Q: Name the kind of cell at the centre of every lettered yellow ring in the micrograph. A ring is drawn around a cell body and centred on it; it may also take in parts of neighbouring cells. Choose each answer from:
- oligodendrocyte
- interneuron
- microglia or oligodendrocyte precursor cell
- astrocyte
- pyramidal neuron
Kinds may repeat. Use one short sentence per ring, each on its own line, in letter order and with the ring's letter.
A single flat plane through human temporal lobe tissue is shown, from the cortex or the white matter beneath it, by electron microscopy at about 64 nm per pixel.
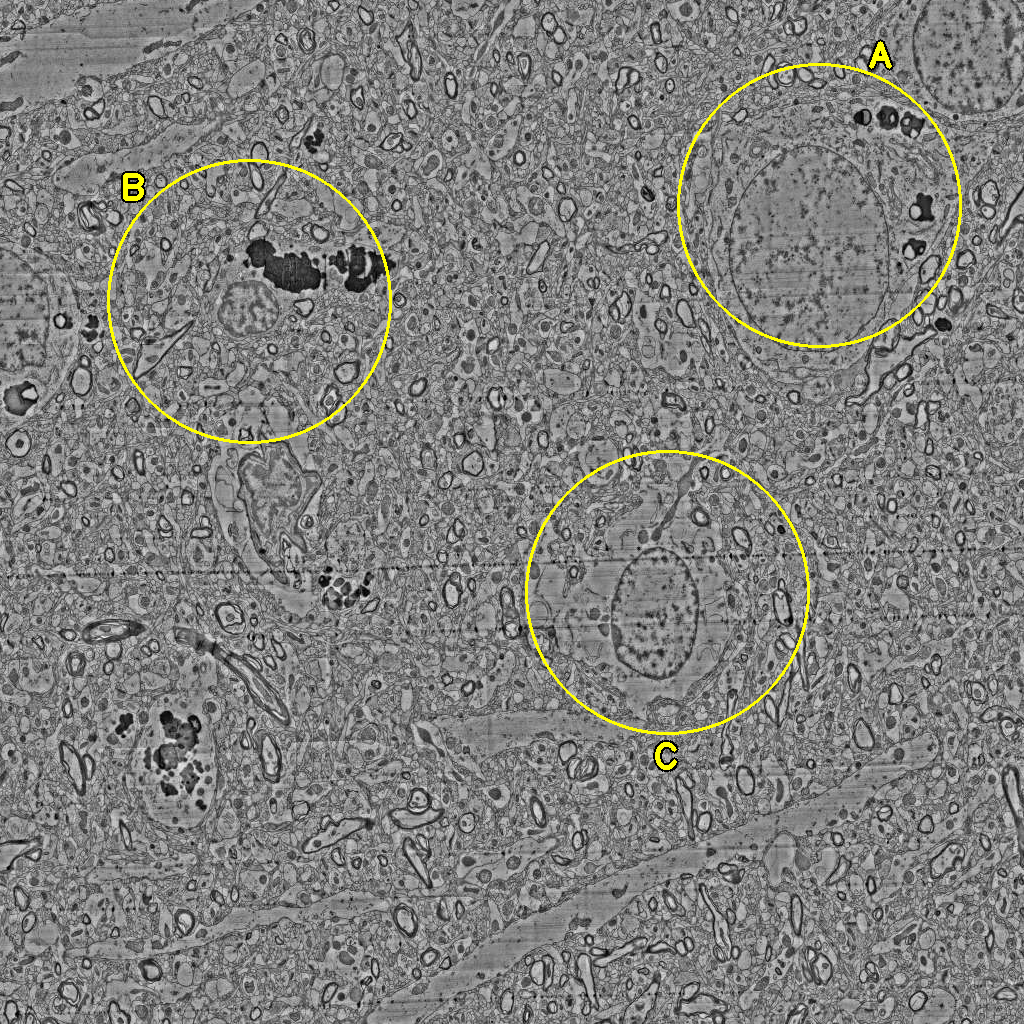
Ring A is placed around a pyramidal neuron.
Ring B is placed around an oligodendrocyte.
Ring C is placed around an astrocyte.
